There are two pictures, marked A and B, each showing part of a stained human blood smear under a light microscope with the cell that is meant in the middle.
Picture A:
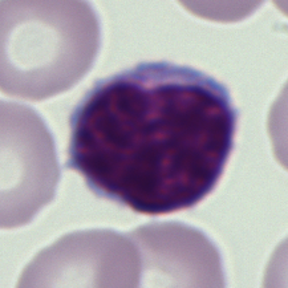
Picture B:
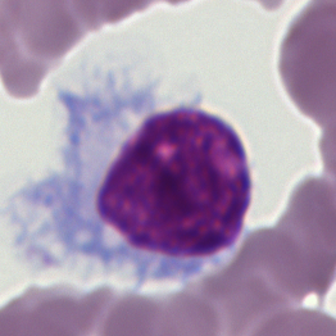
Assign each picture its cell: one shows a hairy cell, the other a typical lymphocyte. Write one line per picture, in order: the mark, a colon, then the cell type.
A: typical lymphocyte
B: hairy cell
